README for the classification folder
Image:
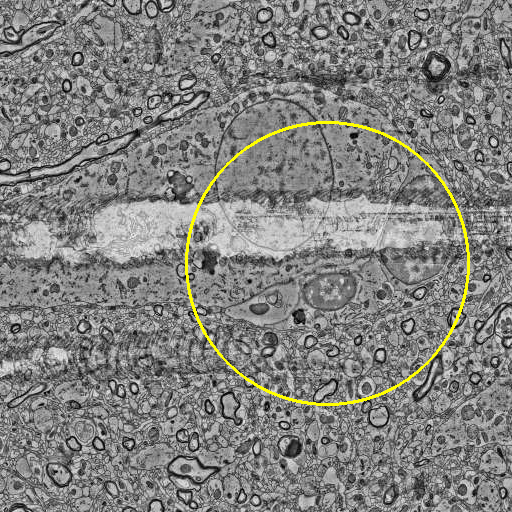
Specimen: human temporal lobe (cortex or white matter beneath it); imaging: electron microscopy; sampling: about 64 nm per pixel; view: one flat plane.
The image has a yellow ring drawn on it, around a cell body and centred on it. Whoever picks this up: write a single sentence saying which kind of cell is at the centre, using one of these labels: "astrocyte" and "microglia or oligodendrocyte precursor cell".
This cell body is that of a microglial cell or oligodendrocyte precursor cell.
